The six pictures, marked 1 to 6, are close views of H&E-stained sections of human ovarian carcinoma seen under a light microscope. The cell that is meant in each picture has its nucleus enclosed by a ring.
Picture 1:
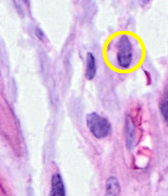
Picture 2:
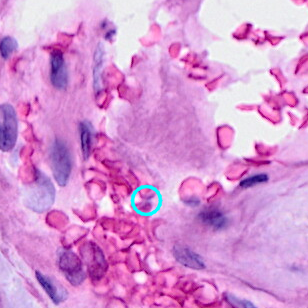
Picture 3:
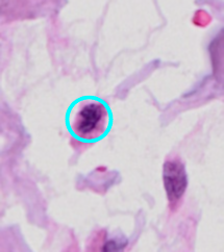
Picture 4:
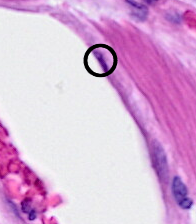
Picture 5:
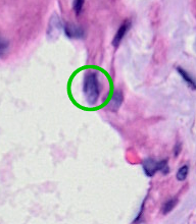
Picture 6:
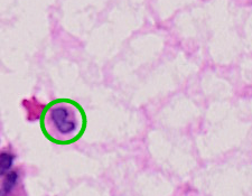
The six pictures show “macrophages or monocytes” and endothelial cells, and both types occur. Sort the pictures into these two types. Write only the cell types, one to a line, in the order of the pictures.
macrophage or monocyte
endothelial cell
macrophage or monocyte
endothelial cell
endothelial cell
macrophage or monocyte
